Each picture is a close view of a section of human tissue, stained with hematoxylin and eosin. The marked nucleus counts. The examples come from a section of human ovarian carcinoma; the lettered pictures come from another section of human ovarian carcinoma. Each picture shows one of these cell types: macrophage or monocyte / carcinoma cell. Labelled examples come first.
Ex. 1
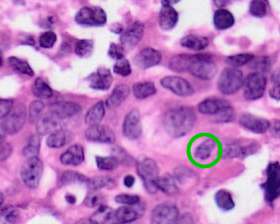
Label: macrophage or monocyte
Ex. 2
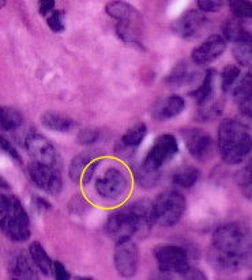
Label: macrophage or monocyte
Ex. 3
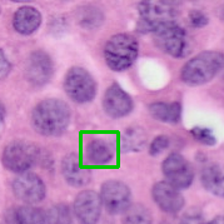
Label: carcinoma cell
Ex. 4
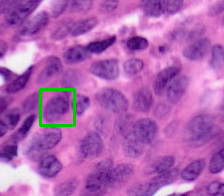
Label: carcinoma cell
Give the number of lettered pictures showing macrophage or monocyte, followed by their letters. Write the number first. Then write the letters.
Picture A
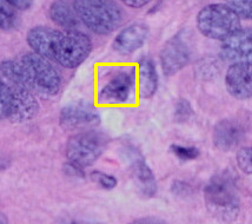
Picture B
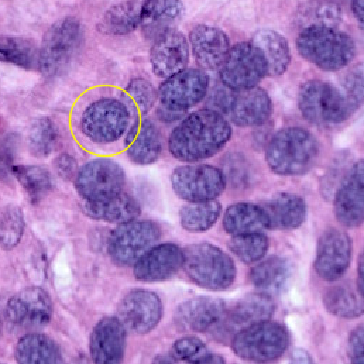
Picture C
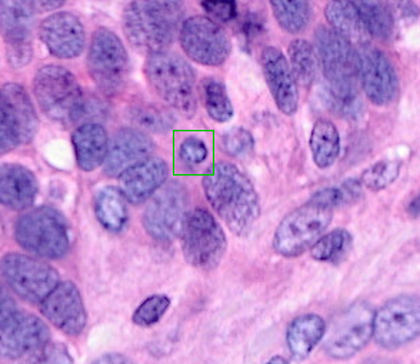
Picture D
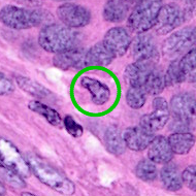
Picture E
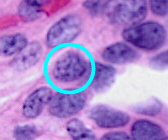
3: A, C, D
